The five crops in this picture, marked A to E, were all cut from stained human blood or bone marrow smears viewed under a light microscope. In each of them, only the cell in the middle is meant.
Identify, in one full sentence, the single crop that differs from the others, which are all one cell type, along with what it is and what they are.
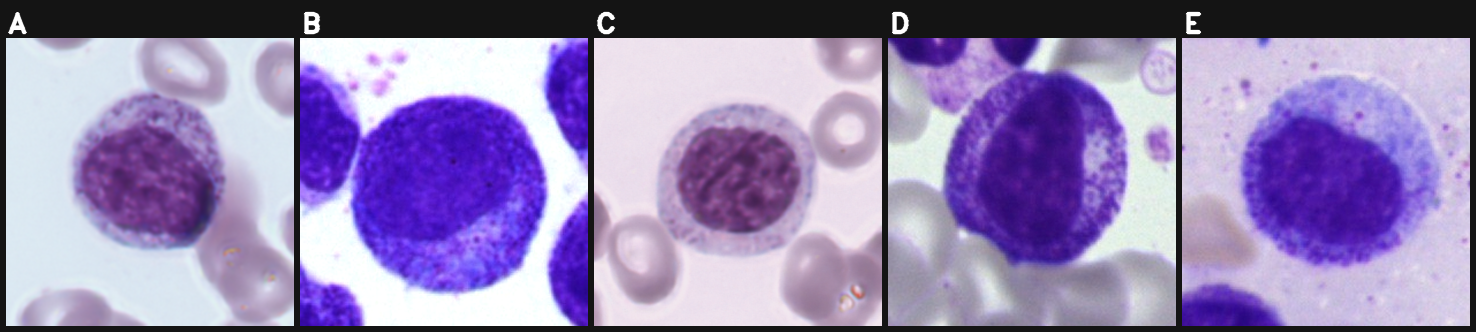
In contrast to the other crops, all of which show myelocytes, crop E shows a promyelocyte.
